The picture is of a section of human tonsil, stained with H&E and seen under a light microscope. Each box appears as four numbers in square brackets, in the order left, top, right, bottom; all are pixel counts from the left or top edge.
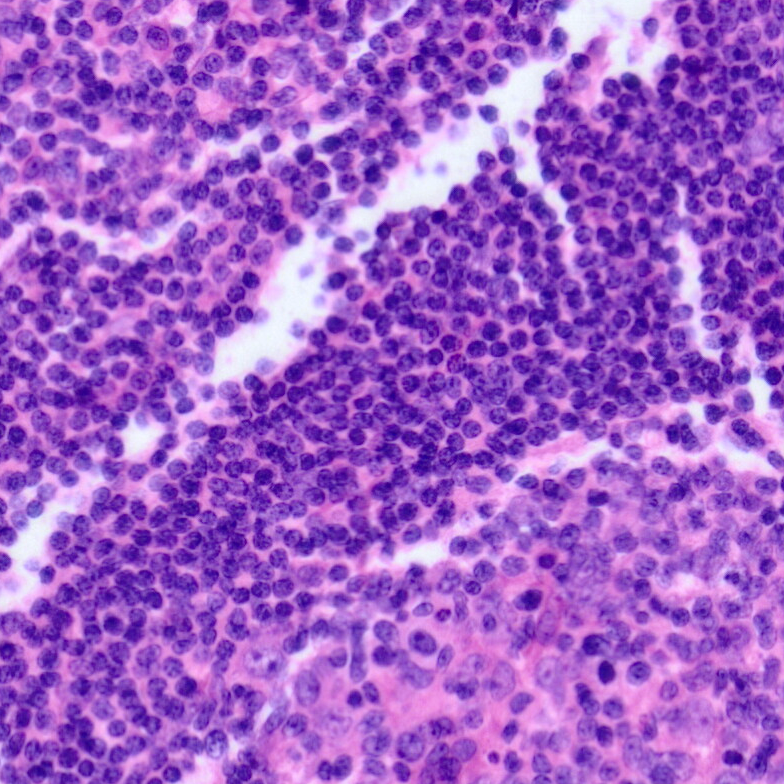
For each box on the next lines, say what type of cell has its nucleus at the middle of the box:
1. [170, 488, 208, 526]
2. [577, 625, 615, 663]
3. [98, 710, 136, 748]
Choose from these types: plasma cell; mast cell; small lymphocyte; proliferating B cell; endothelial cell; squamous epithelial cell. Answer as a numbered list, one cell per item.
1. small lymphocyte
2. proliferating B cell
3. small lymphocyte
